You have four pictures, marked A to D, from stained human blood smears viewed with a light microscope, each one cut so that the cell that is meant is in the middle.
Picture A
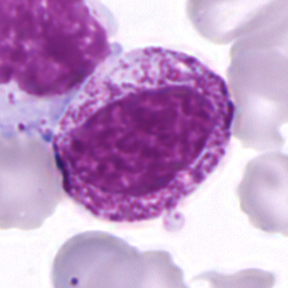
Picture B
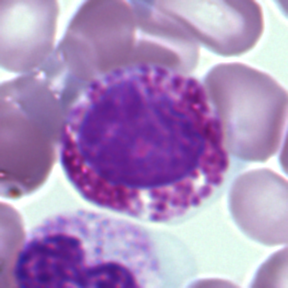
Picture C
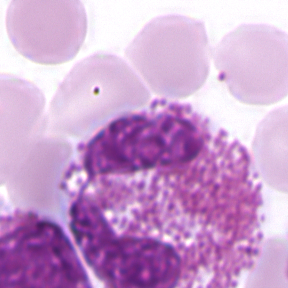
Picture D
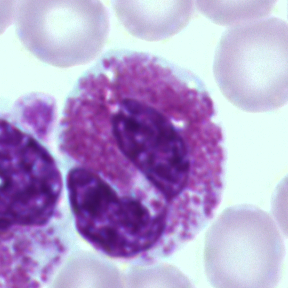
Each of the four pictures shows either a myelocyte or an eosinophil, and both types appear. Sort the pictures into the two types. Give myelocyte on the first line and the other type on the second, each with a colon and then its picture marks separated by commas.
myelocyte: A
eosinophil: B, C, D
